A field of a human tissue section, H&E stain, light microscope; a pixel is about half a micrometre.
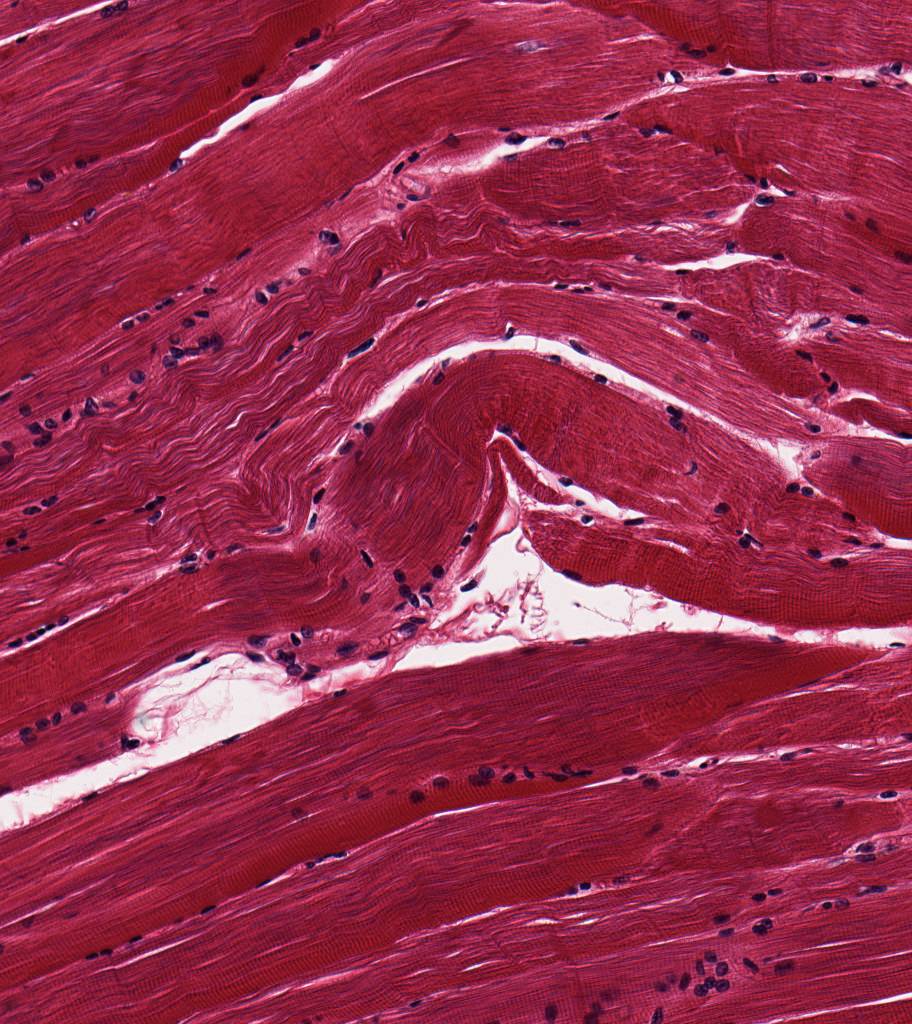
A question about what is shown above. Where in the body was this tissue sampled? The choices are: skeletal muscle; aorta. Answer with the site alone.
skeletal muscle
